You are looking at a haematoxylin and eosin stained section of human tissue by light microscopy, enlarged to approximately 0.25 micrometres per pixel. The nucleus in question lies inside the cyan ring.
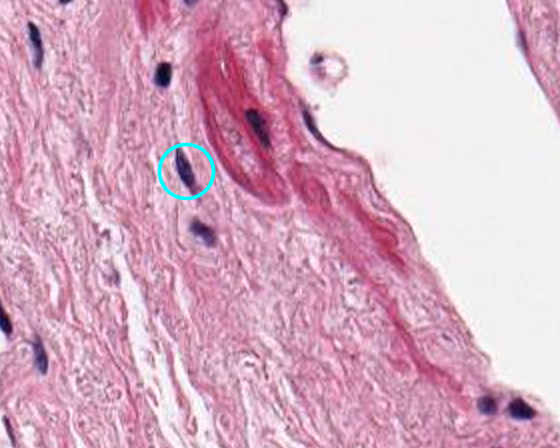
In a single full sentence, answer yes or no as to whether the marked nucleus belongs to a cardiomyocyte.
No, a supporting cell is the one to which the marked nucleus belongs, not a cardiomyocyte.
